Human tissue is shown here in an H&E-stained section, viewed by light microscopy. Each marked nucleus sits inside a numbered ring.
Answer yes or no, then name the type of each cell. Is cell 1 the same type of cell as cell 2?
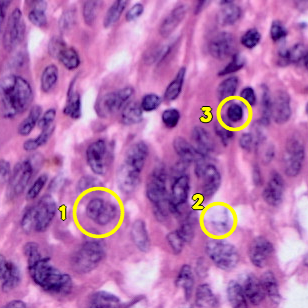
Yes, along with cell 1, cell 2 is also among the melanoma cells.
